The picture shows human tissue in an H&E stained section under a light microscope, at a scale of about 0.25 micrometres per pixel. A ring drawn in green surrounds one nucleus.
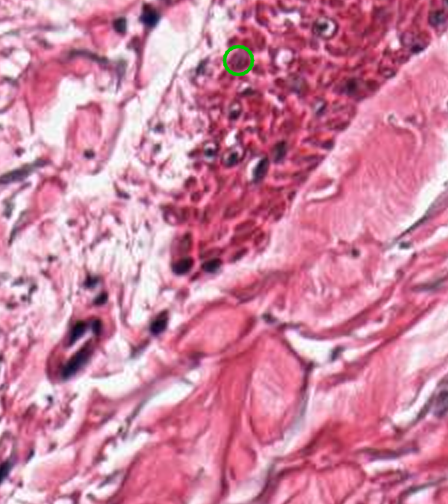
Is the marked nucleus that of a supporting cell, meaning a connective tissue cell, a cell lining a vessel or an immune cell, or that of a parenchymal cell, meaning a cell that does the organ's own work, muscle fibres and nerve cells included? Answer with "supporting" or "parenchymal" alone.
parenchymal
